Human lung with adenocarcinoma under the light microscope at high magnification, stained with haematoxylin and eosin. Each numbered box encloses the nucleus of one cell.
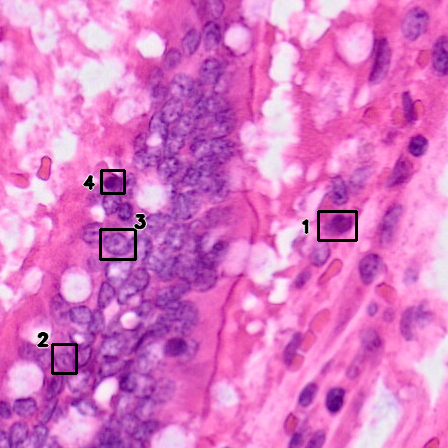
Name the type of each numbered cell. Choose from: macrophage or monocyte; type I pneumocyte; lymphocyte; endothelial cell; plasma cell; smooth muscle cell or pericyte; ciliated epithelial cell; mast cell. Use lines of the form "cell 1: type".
cell 1: macrophage or monocyte
cell 2: ciliated epithelial cell
cell 3: ciliated epithelial cell
cell 4: ciliated epithelial cell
